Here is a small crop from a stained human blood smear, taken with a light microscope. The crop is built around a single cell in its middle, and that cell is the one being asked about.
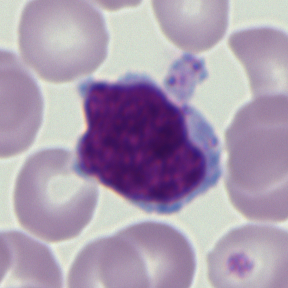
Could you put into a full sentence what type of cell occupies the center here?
The cell featured at the centre of this crop is a typical lymphocyte.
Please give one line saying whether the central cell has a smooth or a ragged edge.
A smooth outline is absent here, replaced by ragged stretches or projections.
